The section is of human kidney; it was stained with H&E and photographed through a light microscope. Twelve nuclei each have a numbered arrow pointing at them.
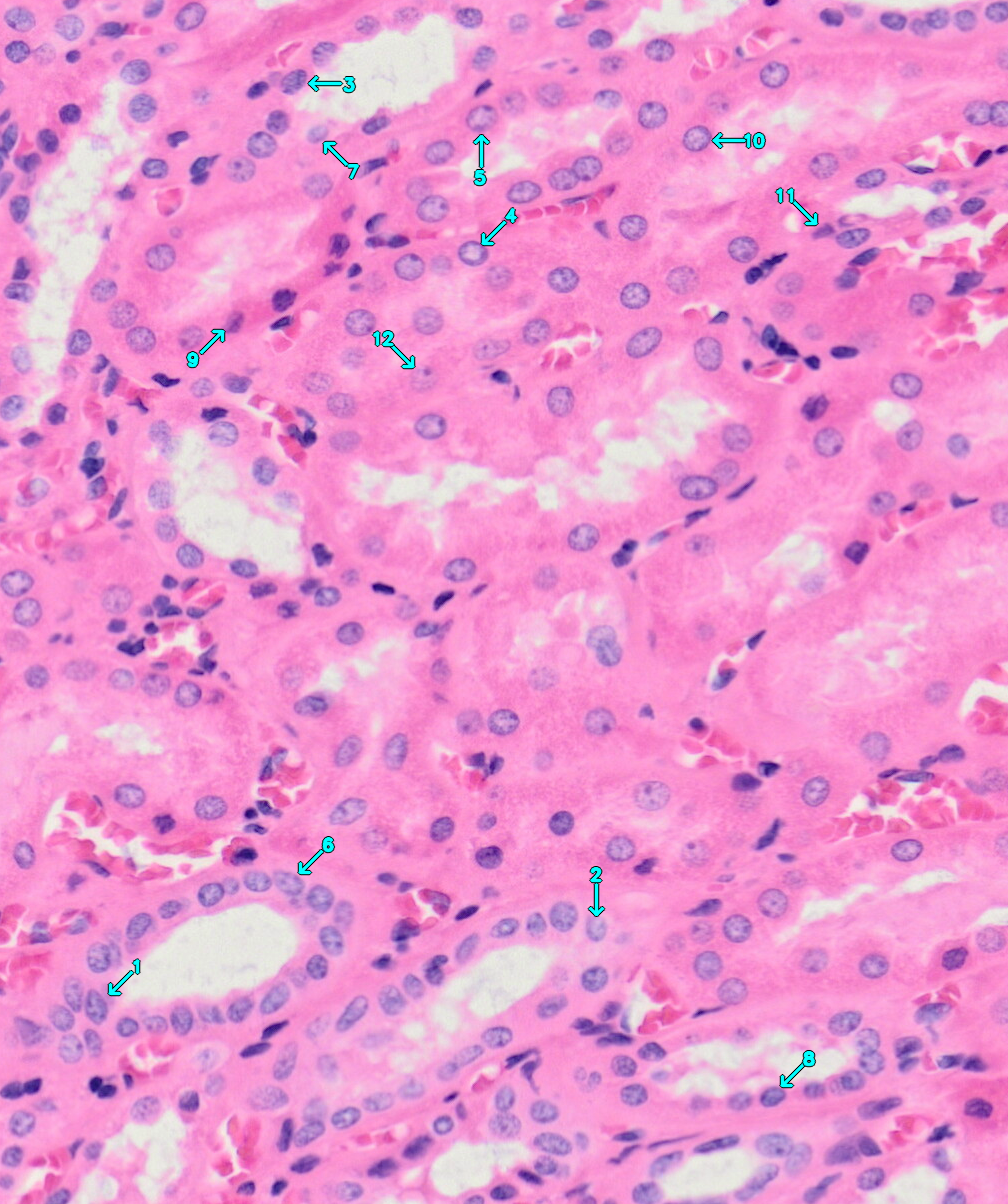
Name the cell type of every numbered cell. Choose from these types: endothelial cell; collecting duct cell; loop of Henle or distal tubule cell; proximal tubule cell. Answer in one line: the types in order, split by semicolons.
collecting duct cell; collecting duct cell; loop of Henle or distal tubule cell; proximal tubule cell; proximal tubule cell; collecting duct cell; loop of Henle or distal tubule cell; loop of Henle or distal tubule cell; proximal tubule cell; proximal tubule cell; collecting duct cell; proximal tubule cell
